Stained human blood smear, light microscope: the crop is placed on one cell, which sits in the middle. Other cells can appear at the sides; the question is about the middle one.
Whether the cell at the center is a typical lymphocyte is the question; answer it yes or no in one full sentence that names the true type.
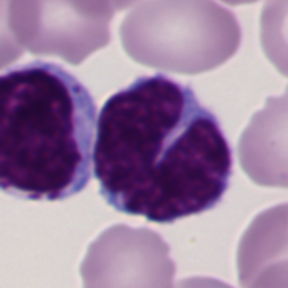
Yes, the middle cell is properly termed a typical lymphocyte.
